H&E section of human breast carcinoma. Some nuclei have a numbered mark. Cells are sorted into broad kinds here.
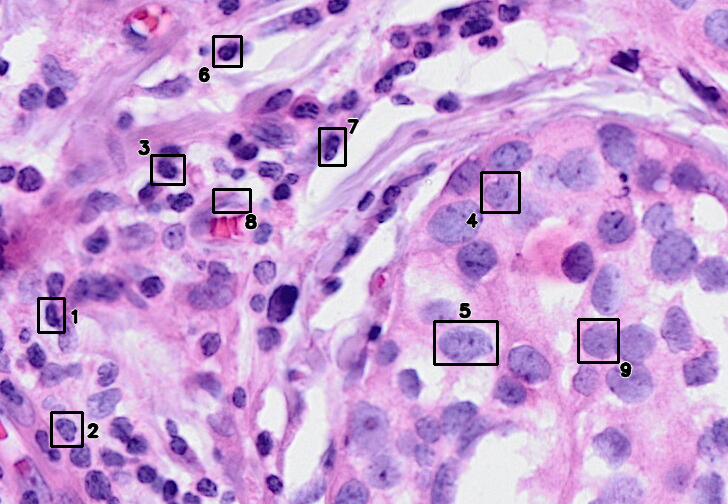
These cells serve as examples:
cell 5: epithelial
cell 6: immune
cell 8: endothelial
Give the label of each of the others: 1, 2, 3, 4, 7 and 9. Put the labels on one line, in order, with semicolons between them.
immune; immune; immune; epithelial; immune; epithelial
